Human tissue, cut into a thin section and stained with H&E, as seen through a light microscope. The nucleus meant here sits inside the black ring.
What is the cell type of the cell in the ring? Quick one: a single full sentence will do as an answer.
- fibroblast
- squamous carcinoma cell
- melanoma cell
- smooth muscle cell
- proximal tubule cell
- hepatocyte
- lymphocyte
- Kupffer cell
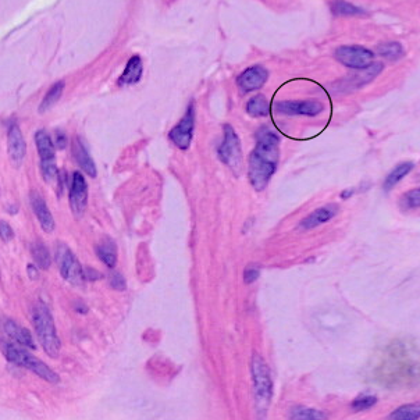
Right, so the cell in the ring is a smooth muscle cell, to answer that.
